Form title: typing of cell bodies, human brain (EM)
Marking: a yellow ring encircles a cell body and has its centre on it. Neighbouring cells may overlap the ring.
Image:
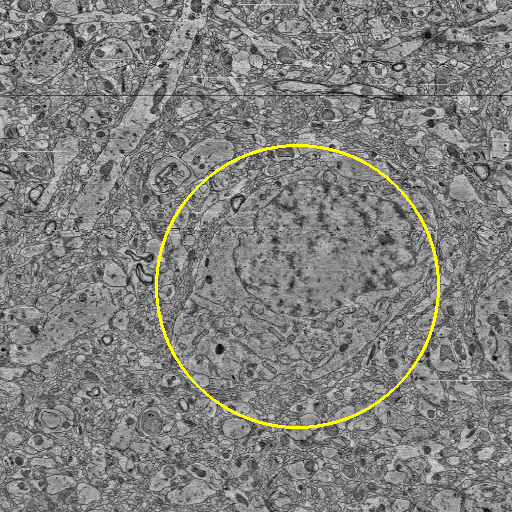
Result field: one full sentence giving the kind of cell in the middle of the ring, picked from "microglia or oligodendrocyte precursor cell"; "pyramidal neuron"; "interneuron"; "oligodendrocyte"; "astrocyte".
In the picture, the ring is centred on an interneuron, whose cell body it encircles.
